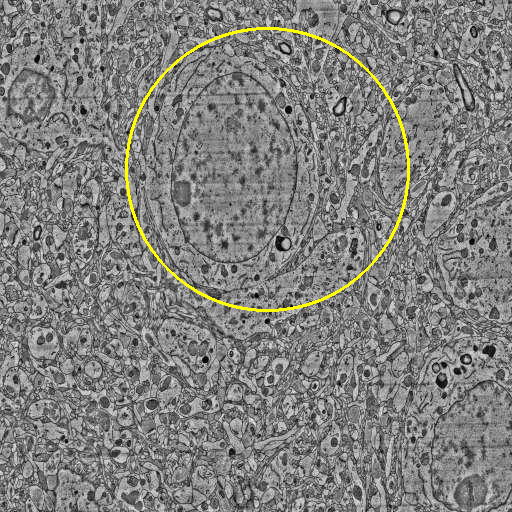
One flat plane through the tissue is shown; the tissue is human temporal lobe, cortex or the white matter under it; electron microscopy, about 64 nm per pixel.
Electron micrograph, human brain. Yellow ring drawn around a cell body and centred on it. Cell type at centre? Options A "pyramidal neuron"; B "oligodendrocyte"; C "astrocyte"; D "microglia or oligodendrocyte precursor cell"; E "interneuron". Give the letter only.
A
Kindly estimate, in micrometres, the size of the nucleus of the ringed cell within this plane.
In this plane the nucleus spans approximately 11 by 8 micrometers.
